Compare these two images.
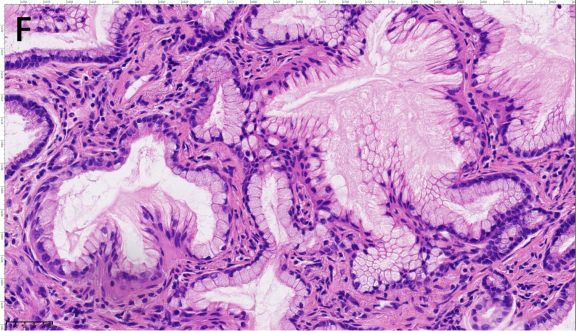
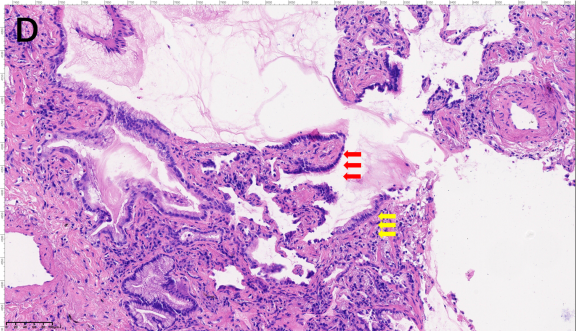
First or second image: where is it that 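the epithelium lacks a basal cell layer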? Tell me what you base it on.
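Second image: the lining shows a row of cells beneath the luminal cells, forming two layers.
Answer: the first image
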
